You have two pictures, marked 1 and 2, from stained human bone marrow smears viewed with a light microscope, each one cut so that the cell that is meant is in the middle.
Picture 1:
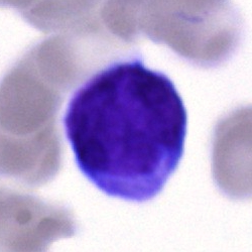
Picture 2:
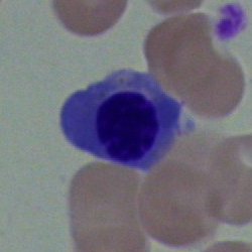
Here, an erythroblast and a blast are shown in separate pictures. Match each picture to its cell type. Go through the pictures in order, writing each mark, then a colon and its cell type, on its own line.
1: blast
2: erythroblast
